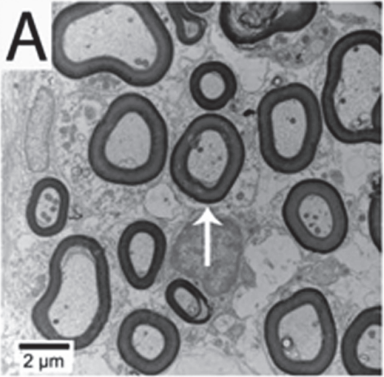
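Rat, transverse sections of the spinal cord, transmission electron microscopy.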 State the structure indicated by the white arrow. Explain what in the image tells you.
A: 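The arrow points at a round axon surrounded by a thick, uniformly dark ring. The dark rings around axons are compact, without separated layers.
Answer: thick and tightly-packed myelin sheaths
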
